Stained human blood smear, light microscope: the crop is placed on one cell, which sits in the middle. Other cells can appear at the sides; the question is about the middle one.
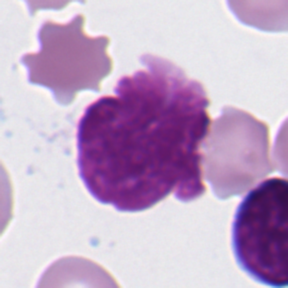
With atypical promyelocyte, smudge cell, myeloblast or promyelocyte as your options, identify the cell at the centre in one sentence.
Of the cells in this crop, the central one is a smudge cell.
